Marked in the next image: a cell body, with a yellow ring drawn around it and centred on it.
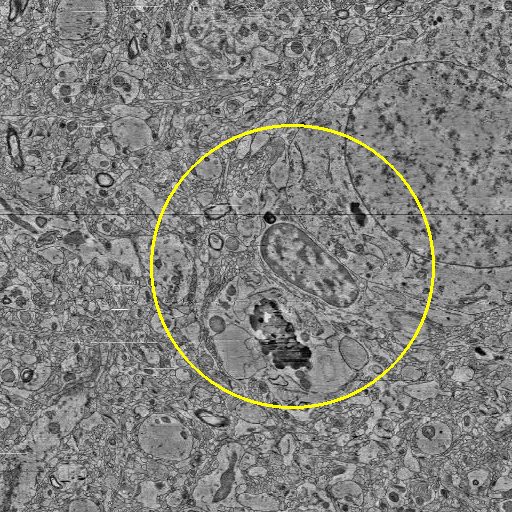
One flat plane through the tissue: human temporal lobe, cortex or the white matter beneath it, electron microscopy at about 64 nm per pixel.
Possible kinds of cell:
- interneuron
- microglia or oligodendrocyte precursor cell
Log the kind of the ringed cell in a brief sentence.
The ringed cell body is that of a microglial cell or oligodendrocyte precursor cell.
